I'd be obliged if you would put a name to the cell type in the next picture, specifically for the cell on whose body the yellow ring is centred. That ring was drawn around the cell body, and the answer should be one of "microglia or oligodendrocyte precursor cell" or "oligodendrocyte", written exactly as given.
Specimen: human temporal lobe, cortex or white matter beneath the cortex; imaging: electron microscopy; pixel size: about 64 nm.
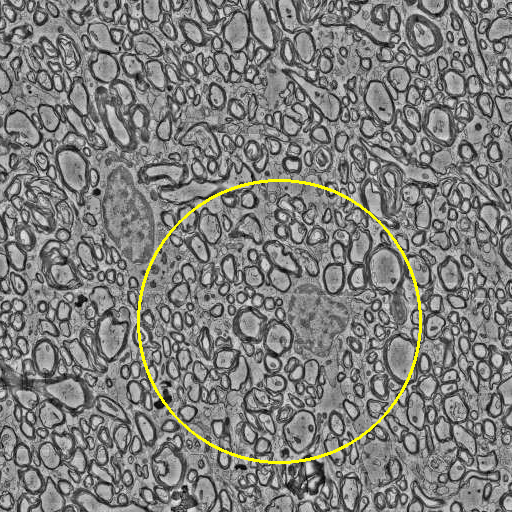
oligodendrocyte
